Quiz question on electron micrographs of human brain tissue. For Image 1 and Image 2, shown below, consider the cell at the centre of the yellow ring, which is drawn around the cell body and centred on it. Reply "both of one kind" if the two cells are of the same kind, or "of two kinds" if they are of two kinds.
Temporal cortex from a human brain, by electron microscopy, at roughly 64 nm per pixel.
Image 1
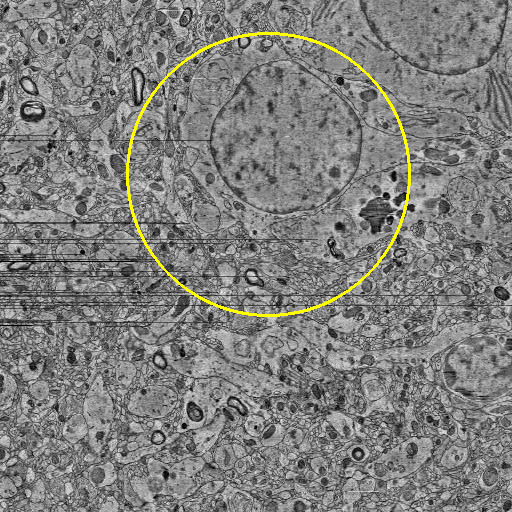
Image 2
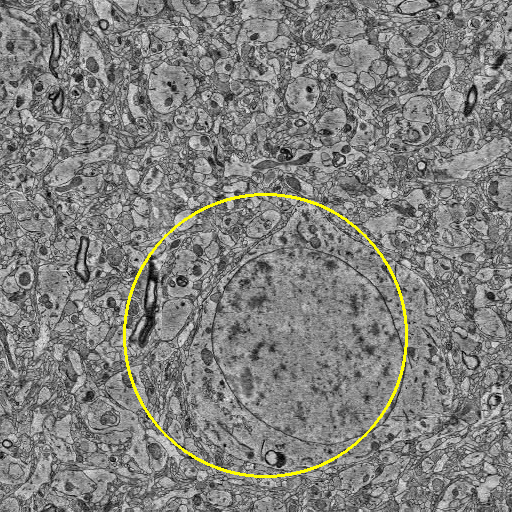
of two kinds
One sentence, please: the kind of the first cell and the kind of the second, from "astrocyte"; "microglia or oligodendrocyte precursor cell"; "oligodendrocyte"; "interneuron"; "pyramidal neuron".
The ring in the first picture surrounds an astrocyte, and the ring in the second surrounds a pyramidal neuron.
